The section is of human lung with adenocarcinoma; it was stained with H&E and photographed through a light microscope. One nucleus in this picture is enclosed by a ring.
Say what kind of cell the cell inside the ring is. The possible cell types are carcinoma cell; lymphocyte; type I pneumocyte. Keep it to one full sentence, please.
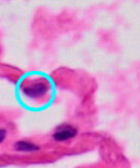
Among the cells in this section, the cell inside the ring is a type I pneumocyte.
